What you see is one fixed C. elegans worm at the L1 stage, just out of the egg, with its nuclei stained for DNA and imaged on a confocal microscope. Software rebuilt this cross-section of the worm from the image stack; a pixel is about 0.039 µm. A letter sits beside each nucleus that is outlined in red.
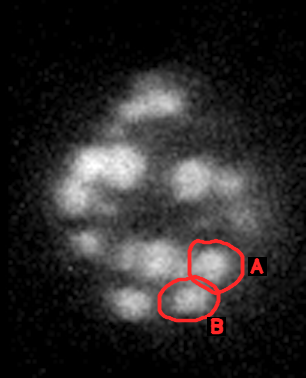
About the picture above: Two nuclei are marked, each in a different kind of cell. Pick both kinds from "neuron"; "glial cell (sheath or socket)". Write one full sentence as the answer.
A belongs to a glial cell (sheath or socket) and B to a neuron.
